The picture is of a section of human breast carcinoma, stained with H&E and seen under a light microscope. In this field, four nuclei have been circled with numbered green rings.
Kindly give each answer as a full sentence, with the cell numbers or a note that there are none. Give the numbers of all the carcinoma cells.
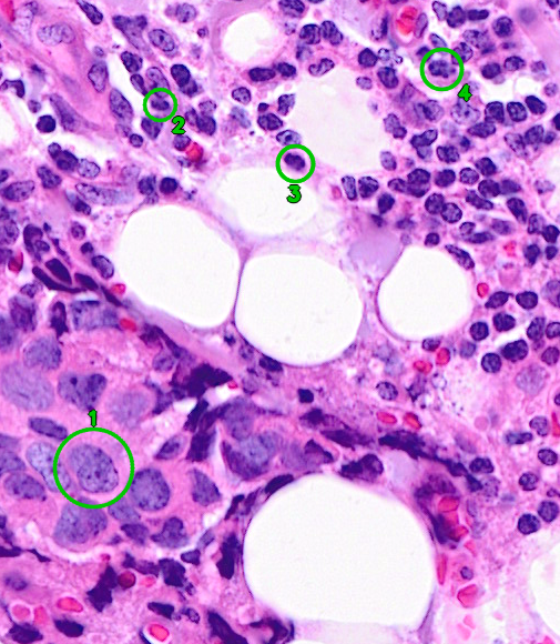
Cell number 1 alone is a carcinoma cell; the rest are not.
